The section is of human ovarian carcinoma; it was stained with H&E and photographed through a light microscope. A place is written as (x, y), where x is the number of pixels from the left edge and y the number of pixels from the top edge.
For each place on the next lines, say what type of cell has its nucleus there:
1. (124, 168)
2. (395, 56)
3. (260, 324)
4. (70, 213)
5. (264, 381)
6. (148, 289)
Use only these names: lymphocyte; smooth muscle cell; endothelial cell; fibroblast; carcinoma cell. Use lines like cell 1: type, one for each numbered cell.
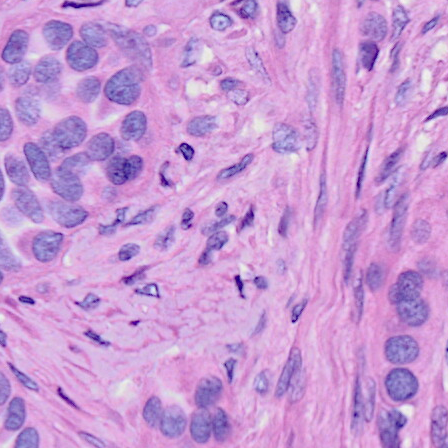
cell 1: carcinoma cell
cell 2: fibroblast
cell 3: fibroblast
cell 4: carcinoma cell
cell 5: fibroblast
cell 6: fibroblast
